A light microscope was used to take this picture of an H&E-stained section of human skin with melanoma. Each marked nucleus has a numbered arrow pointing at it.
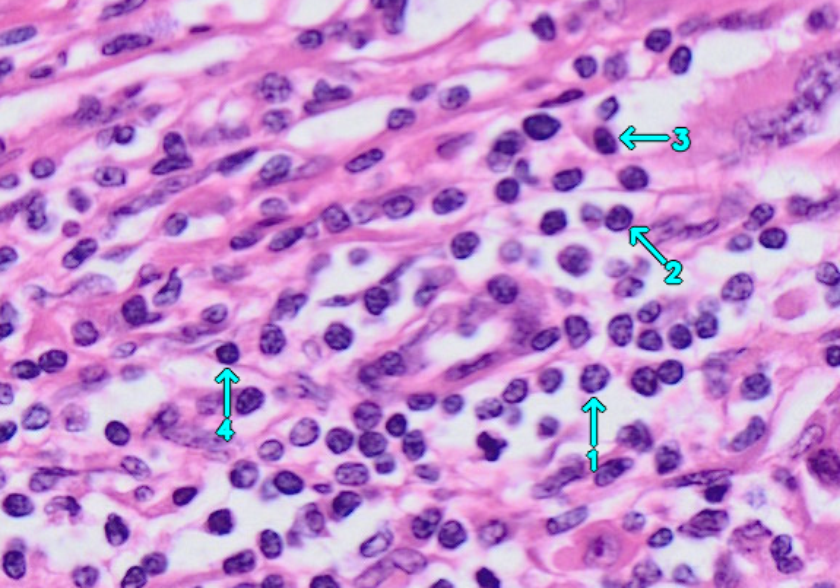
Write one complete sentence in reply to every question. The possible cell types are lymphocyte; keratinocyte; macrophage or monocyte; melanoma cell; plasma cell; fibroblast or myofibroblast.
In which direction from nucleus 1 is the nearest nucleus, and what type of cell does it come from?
It is a lymphocyte, whose nucleus lies to the left of nucleus 1.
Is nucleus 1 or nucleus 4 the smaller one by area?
The smaller nucleus is 4, and 1 covers roughly 1.5 times its area.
